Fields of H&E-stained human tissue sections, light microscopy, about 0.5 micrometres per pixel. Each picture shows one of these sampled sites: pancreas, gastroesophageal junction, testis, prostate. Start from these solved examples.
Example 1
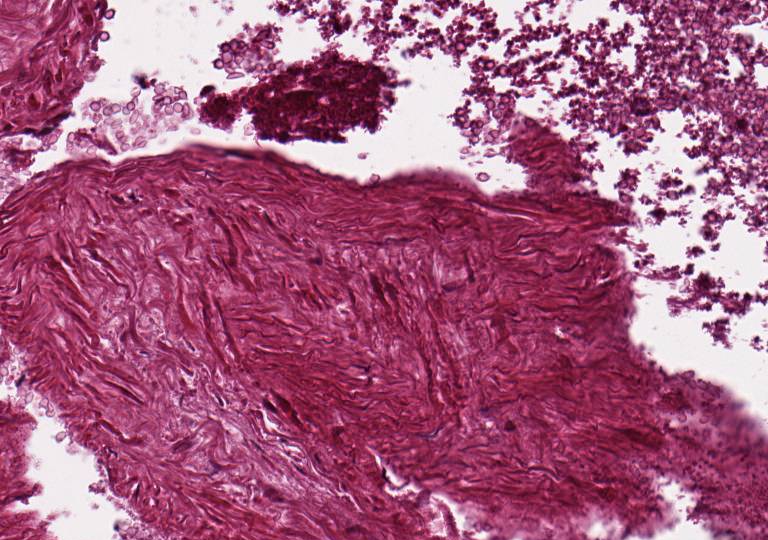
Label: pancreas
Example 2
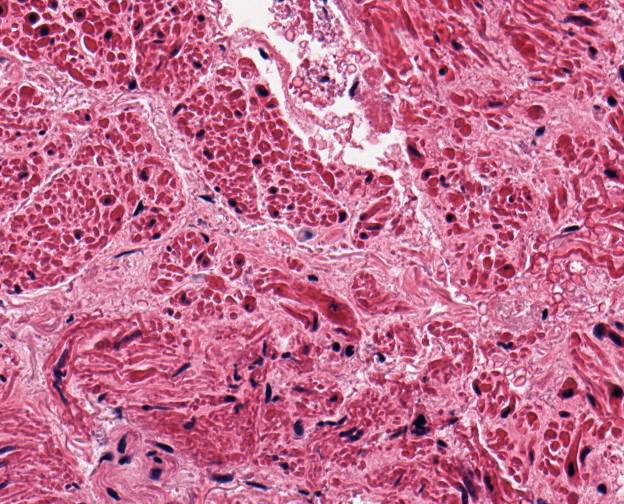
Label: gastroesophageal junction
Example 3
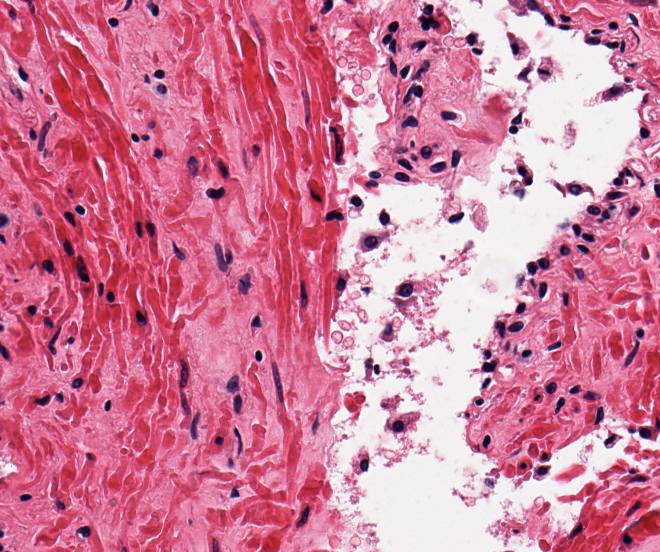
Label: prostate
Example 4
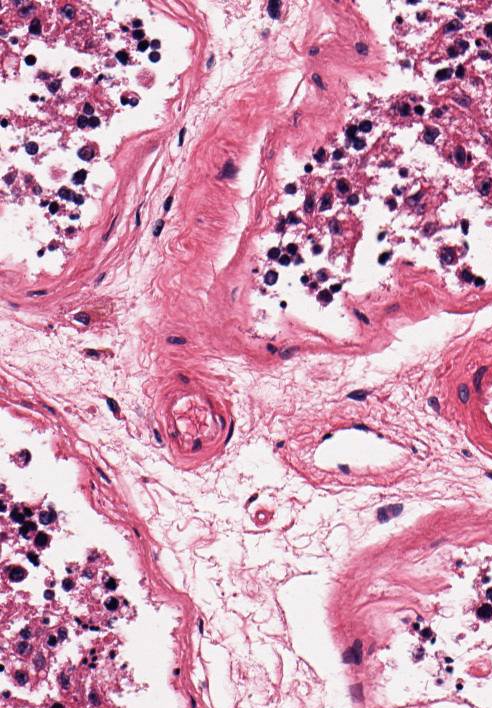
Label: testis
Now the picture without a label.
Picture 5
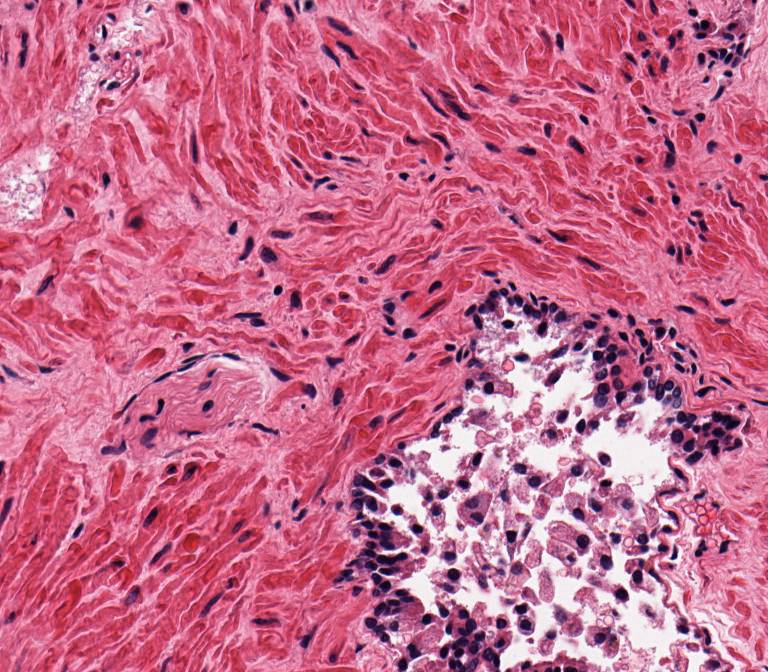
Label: prostate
